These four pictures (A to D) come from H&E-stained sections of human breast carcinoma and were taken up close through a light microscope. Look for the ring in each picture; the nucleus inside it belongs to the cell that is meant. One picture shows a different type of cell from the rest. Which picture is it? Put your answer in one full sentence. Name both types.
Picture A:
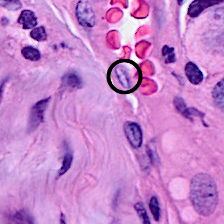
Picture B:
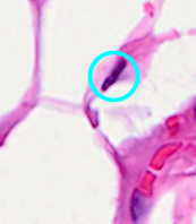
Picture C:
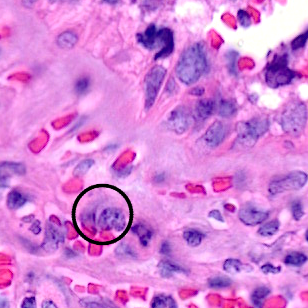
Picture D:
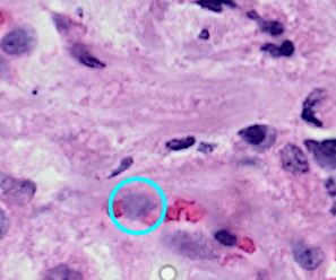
The different one is picture B; it shows a fibroblast, whereas all the others show endothelial cells.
